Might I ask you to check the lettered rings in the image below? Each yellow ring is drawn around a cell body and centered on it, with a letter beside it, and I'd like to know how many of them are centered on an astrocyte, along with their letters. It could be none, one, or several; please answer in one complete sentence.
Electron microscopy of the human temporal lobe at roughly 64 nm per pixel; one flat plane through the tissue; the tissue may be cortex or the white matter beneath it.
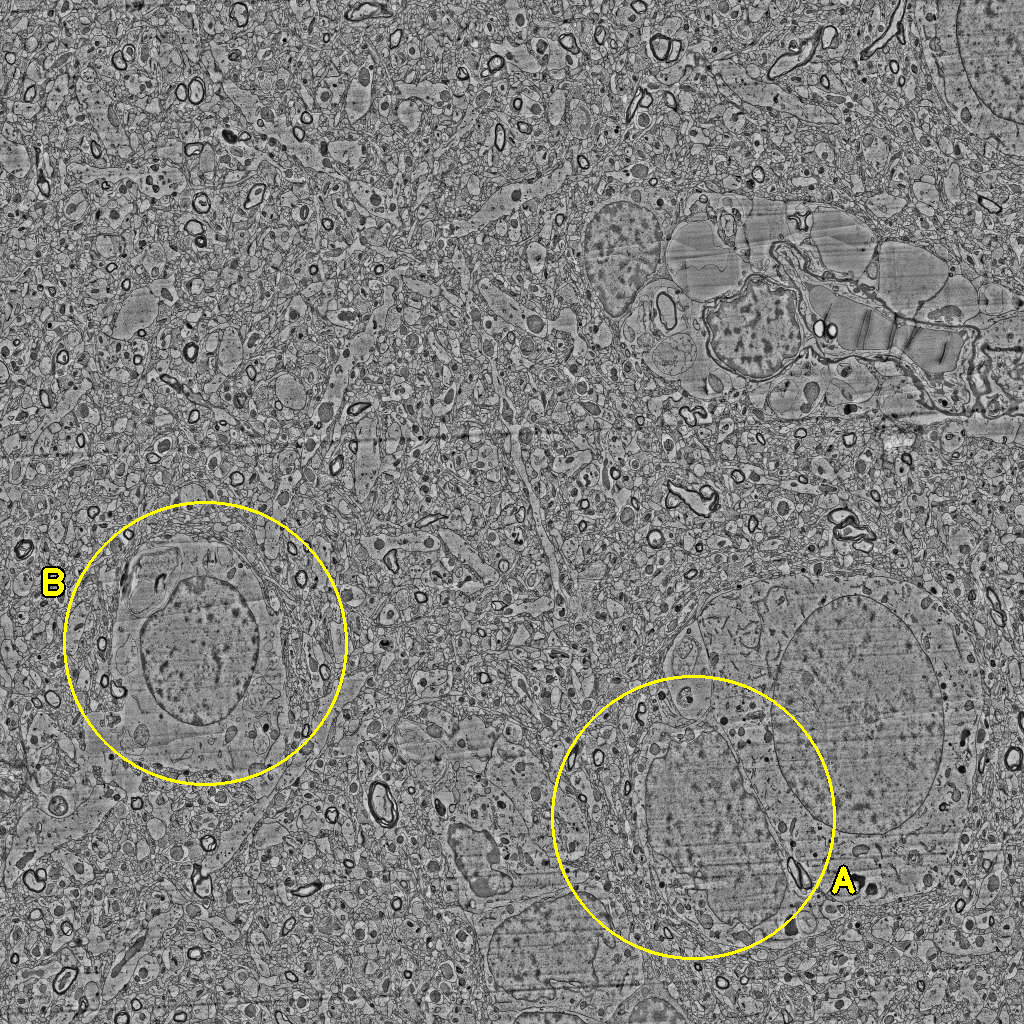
There is just one ring centred on an astrocyte, and the letter beside it is B.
